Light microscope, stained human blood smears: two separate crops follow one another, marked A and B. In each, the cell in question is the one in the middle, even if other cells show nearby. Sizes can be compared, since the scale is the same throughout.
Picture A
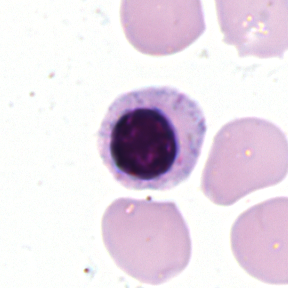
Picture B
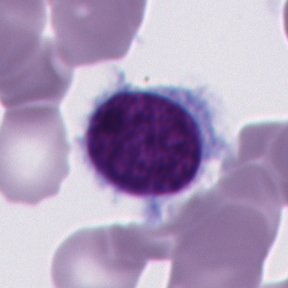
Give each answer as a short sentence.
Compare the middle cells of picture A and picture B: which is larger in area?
Picture B holds the larger cell; it covers about 1.5 times the area of the cell in picture A.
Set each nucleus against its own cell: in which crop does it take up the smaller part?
The nucleus fills less of the cell in picture A than in picture B.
